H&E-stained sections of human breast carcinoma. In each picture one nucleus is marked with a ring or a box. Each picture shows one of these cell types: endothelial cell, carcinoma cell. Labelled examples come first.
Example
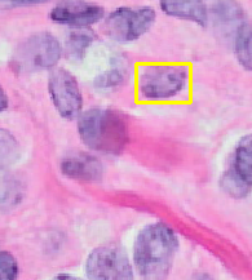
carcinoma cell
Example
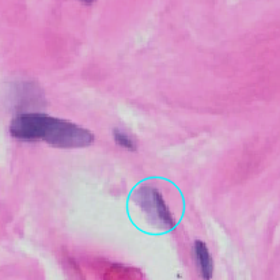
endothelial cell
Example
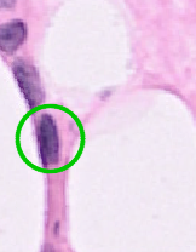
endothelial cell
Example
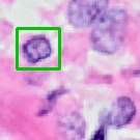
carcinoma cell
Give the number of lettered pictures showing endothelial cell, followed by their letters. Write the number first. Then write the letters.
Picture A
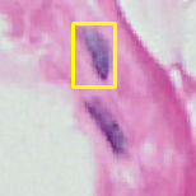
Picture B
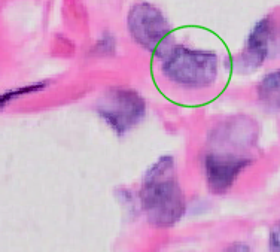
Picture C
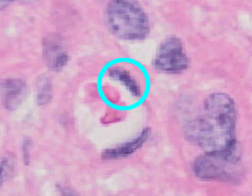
2: A, C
